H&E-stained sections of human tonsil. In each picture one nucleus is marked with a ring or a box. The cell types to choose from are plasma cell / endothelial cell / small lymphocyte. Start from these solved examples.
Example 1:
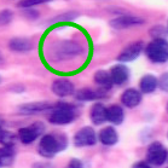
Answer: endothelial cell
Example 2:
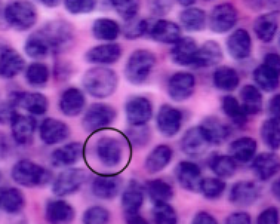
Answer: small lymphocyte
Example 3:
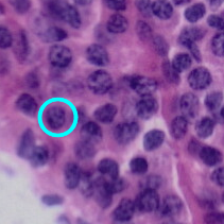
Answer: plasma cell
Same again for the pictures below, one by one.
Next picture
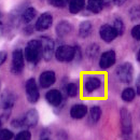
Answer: plasma cell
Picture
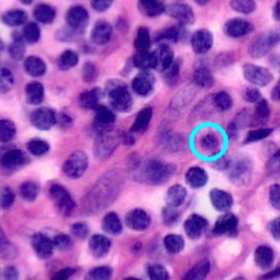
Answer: endothelial cell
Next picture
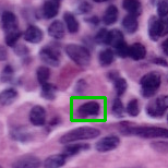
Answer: plasma cell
